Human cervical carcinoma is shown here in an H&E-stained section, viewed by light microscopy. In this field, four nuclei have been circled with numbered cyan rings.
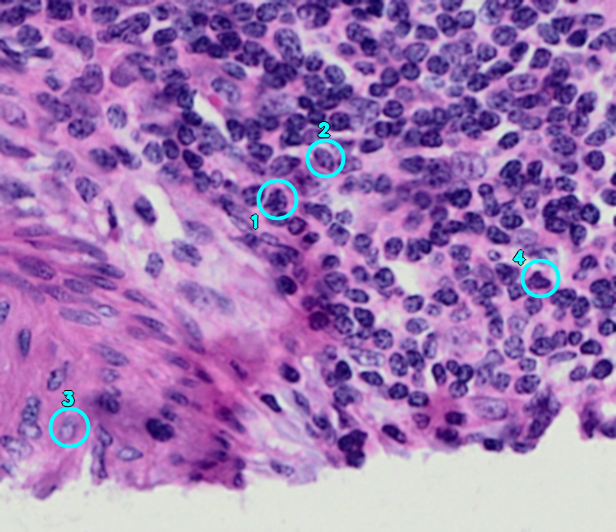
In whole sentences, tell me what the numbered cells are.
Cell 1 is a lymphocyte, cell 2 is a lymphocyte, cell 3 is a smooth muscle cell and cell 4 is a lymphocyte.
